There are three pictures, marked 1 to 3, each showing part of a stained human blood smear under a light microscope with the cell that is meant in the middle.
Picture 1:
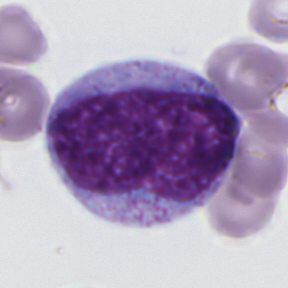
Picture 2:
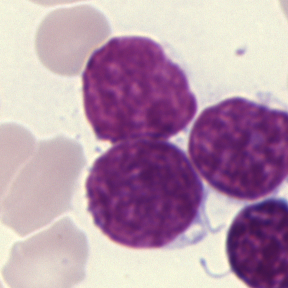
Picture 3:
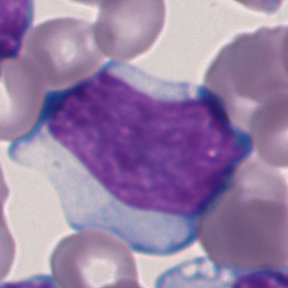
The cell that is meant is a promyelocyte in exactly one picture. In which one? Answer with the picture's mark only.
1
